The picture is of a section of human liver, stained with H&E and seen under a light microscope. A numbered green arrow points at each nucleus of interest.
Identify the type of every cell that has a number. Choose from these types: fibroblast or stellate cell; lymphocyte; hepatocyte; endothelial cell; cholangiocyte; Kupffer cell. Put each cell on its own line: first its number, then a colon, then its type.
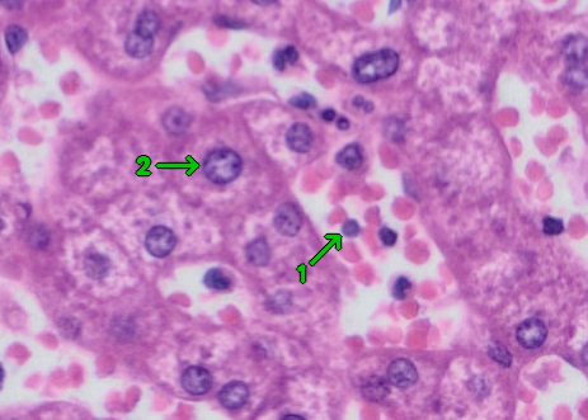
1: lymphocyte
2: hepatocyte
